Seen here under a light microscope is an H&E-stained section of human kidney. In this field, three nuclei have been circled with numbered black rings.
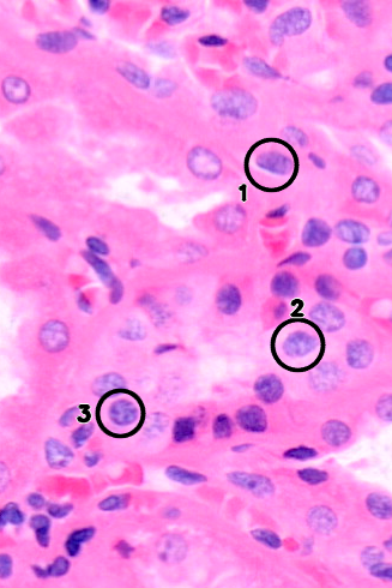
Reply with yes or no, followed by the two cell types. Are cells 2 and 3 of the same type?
Yes, cells 2 and 3 are both collecting duct cells and thus of one type.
